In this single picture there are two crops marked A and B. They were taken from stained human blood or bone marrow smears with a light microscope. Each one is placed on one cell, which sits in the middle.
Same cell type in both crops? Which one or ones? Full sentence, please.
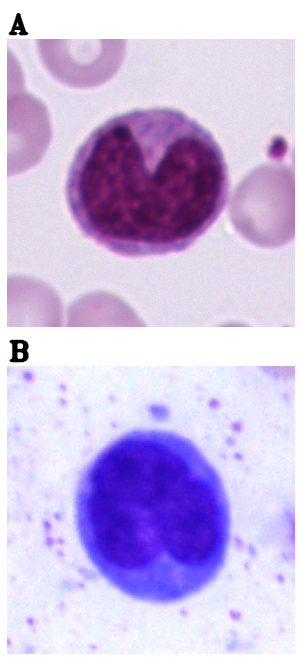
Yes, shown in both crops are monocytes.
